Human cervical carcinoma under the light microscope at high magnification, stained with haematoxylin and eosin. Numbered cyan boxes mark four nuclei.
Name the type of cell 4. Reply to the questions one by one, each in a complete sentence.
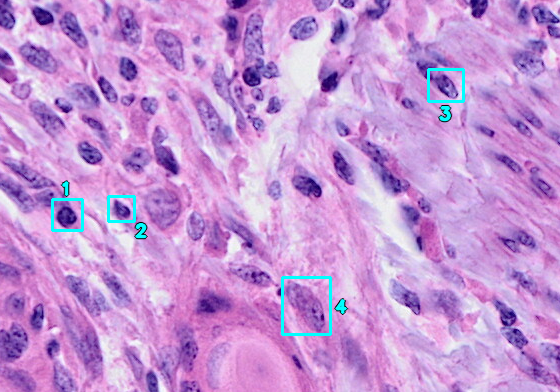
Nucleus 4 in this section belongs to a fibroblast.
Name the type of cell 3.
Cell 3 should be recorded as a lymphocyte.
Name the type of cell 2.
The marked cell bearing number 2 is a lymphocyte.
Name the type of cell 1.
The cell bearing label 1 corresponds to a lymphocyte.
